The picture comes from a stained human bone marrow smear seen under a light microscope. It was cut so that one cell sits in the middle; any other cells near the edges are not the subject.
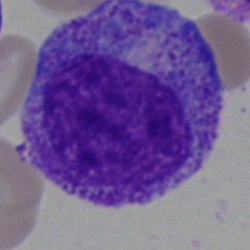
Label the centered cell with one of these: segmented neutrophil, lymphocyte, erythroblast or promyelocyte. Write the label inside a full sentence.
On this slide crop, the central cell is a promyelocyte.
